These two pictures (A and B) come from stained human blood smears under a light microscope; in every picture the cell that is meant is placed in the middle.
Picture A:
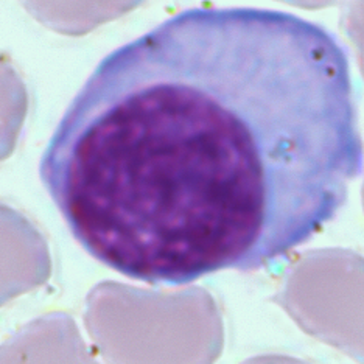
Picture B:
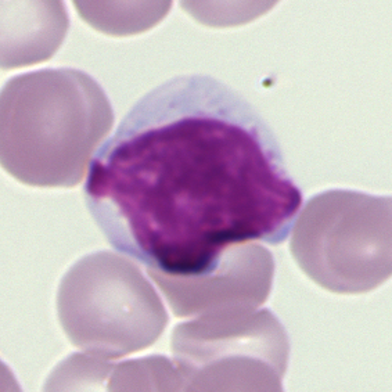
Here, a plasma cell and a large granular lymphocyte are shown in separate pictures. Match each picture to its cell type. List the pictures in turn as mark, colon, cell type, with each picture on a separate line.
A: plasma cell
B: large granular lymphocyte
